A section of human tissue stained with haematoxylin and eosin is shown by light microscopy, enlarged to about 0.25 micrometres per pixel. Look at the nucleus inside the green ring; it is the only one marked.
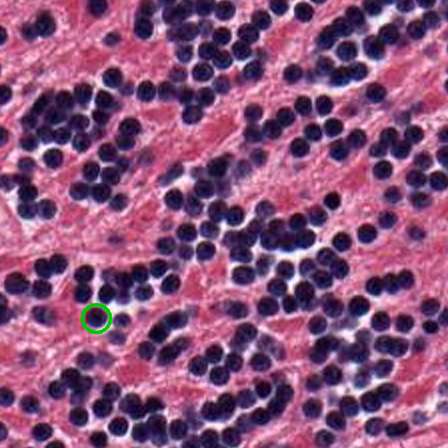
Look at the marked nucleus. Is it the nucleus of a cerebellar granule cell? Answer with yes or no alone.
yes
